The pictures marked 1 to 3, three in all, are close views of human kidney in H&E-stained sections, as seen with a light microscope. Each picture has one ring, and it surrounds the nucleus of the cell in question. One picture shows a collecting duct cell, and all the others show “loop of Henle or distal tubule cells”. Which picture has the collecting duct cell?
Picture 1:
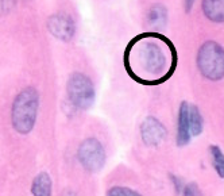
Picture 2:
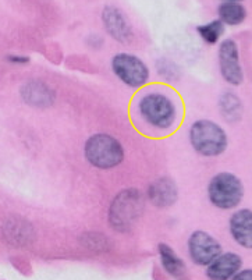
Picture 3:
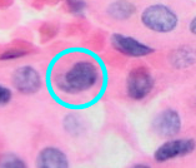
2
